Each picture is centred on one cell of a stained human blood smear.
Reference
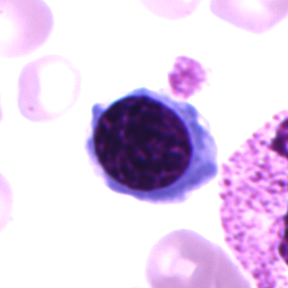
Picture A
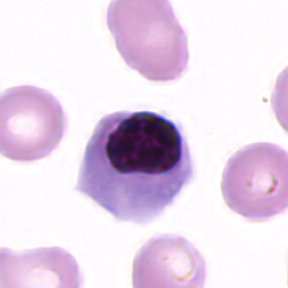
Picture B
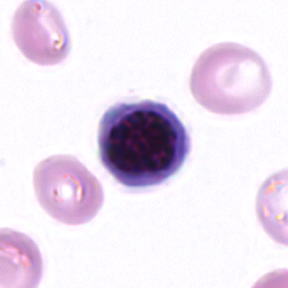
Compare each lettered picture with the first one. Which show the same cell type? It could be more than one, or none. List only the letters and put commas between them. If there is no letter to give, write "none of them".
A, B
